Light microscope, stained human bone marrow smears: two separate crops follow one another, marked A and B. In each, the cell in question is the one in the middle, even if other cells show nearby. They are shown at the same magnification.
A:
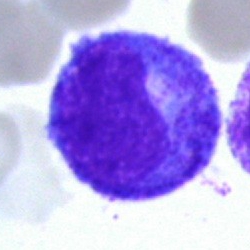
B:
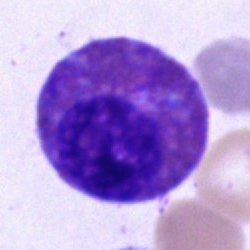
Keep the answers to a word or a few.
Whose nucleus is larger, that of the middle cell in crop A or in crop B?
A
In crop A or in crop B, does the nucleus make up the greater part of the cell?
A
